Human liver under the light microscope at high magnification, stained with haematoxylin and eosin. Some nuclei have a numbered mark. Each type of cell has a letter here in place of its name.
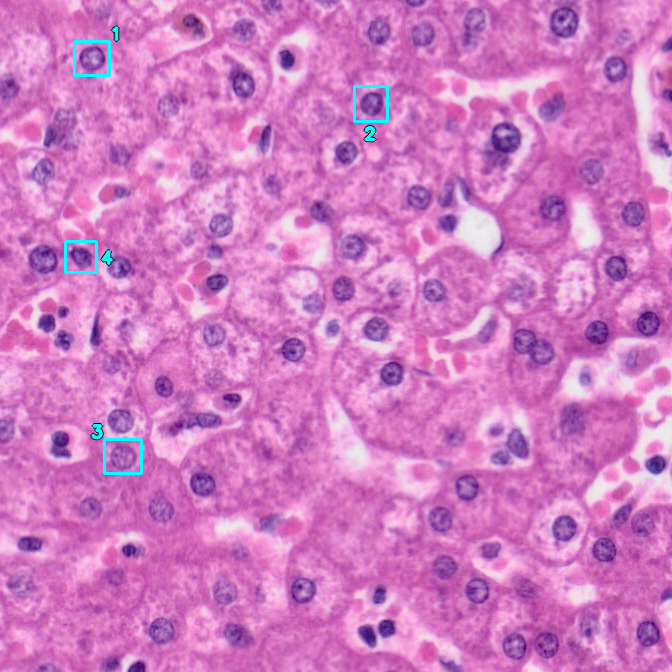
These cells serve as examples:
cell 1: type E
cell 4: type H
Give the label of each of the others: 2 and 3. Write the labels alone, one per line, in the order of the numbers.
type E
type E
